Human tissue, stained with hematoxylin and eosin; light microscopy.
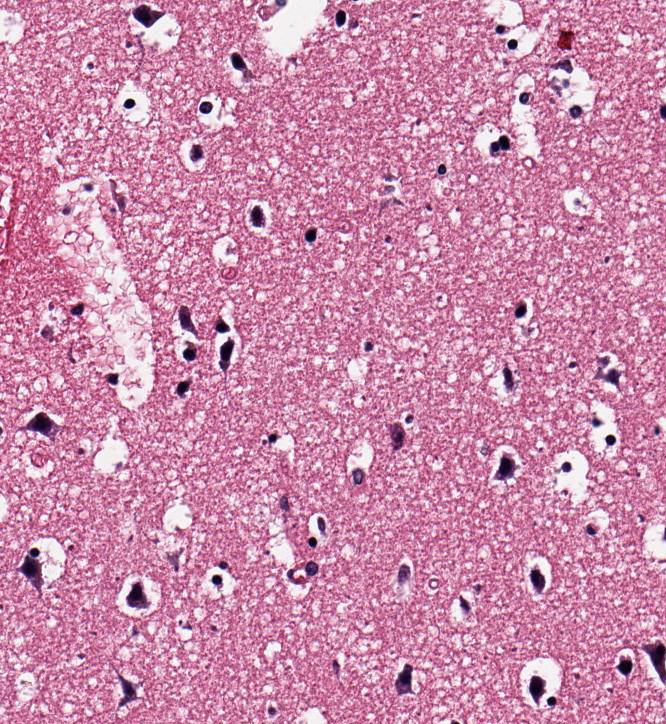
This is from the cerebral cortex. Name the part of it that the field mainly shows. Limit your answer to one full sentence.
This tissue part goes by the name cellular layers of the cortex (layers II to VI).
